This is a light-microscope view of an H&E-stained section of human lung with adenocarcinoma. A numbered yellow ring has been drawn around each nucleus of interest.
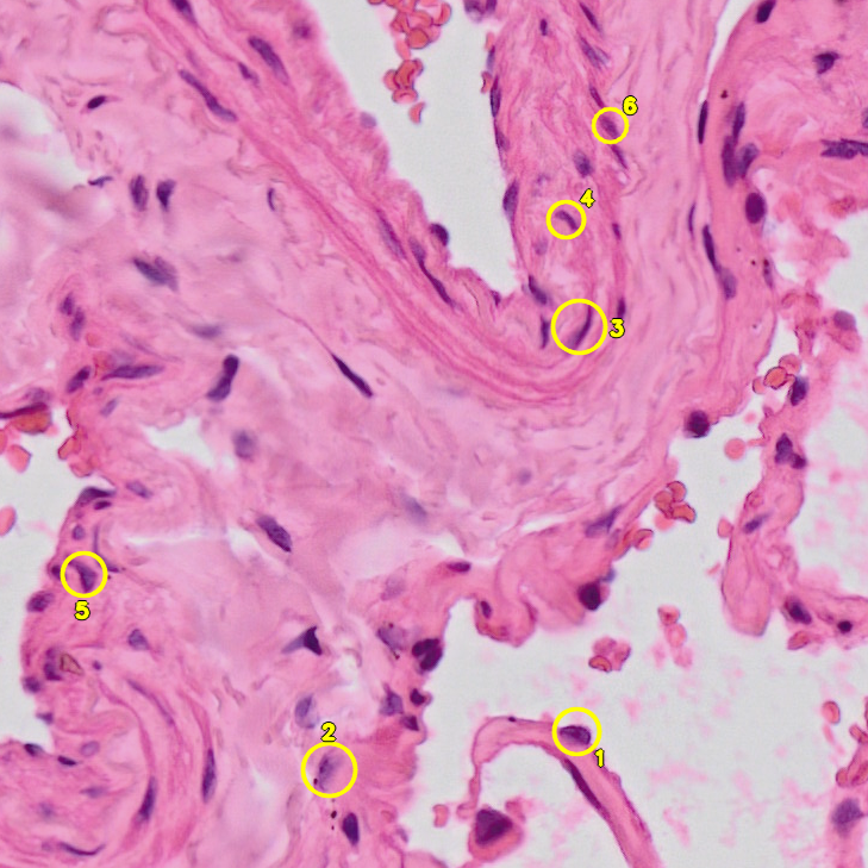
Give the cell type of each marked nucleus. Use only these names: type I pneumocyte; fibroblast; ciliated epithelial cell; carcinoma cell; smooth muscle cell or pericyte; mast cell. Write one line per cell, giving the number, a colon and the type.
1: type I pneumocyte
2: fibroblast
3: smooth muscle cell or pericyte
4: smooth muscle cell or pericyte
5: smooth muscle cell or pericyte
6: smooth muscle cell or pericyte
